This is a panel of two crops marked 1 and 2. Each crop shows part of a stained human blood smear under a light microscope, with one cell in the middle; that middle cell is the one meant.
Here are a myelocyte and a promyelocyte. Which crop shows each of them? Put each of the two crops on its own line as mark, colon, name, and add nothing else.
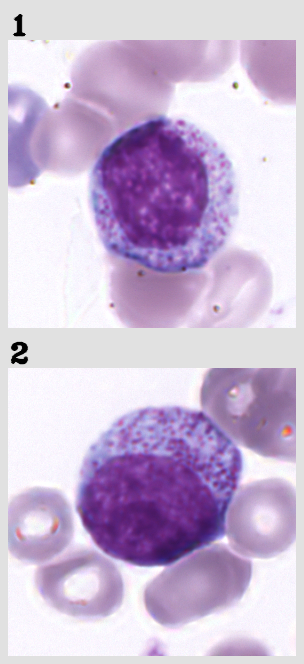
1: myelocyte
2: promyelocyte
